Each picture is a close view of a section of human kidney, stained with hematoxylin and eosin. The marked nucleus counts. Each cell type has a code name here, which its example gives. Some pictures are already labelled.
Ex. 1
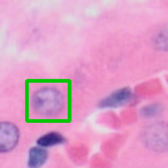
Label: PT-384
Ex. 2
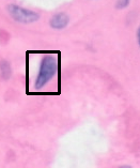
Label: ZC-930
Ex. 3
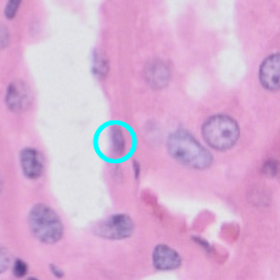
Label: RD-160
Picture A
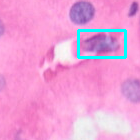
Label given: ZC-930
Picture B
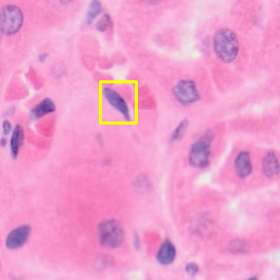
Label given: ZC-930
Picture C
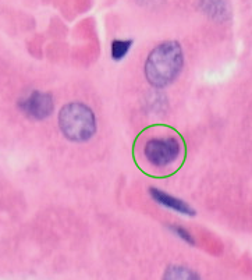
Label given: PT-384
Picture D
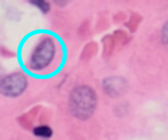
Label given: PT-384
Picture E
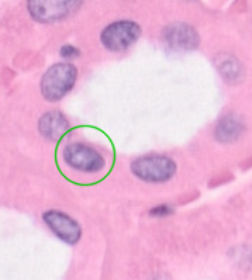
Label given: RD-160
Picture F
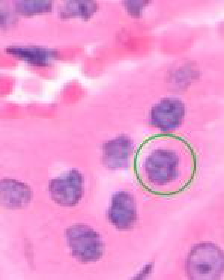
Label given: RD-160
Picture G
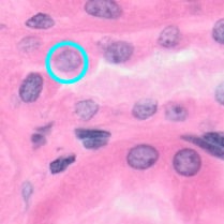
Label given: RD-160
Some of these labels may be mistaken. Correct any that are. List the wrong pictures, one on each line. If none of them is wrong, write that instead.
D: RD-160, not PT-384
